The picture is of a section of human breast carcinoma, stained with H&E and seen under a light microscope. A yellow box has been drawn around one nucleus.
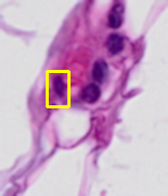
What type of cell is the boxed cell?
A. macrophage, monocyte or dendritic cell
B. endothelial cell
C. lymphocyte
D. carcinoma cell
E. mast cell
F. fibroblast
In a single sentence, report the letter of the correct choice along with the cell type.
Option B is the correct one, since the boxed cell is an endothelial cell.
